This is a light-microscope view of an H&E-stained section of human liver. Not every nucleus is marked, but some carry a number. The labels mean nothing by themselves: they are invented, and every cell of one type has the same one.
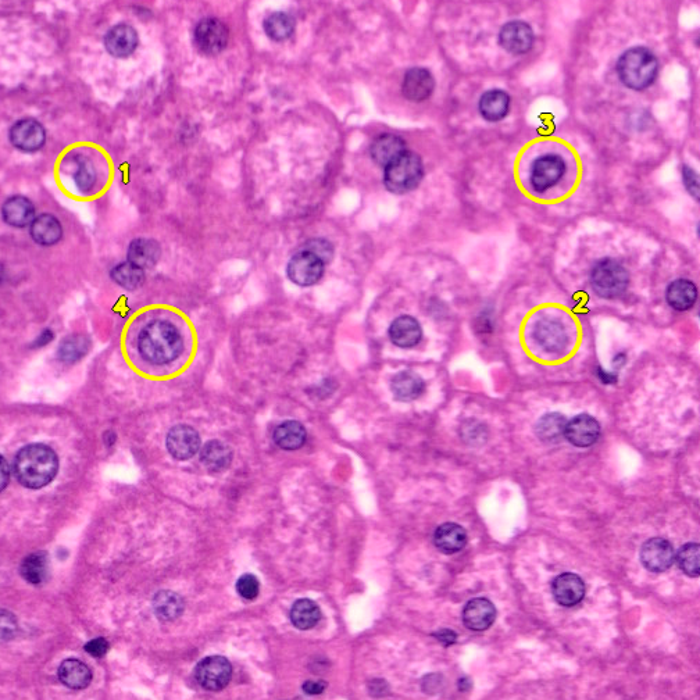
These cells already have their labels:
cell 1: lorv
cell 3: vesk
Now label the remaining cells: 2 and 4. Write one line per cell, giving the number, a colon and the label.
2: vesk
4: vesk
